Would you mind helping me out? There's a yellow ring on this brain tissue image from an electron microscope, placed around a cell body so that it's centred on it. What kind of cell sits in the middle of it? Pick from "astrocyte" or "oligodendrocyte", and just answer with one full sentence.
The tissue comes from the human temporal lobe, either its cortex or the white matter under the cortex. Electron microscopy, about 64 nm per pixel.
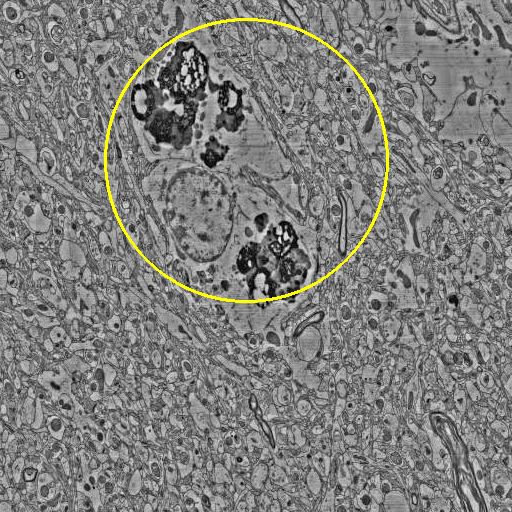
What sits in the middle of that yellow ring is an astrocyte, from your choices.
